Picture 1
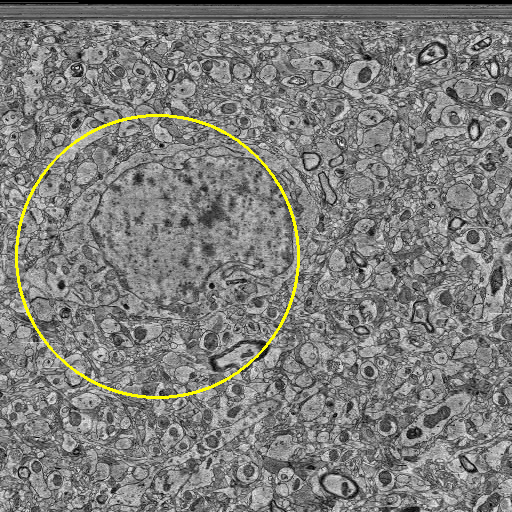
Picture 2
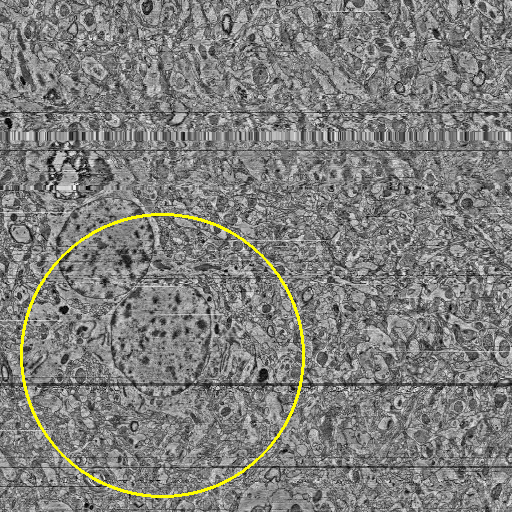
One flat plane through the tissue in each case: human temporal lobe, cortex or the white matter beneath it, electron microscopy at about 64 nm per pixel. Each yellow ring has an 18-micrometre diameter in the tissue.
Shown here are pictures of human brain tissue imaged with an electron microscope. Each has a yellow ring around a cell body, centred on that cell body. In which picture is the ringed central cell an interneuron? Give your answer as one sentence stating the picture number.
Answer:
My answer is picture 1, where the ringed cell at the centre is the one sought.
